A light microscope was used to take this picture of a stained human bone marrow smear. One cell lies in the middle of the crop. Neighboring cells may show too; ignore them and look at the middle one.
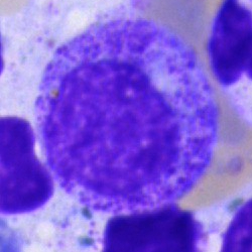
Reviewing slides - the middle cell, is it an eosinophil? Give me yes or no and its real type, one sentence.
No, the cell in the middle is not an eosinophil but a promyelocyte.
